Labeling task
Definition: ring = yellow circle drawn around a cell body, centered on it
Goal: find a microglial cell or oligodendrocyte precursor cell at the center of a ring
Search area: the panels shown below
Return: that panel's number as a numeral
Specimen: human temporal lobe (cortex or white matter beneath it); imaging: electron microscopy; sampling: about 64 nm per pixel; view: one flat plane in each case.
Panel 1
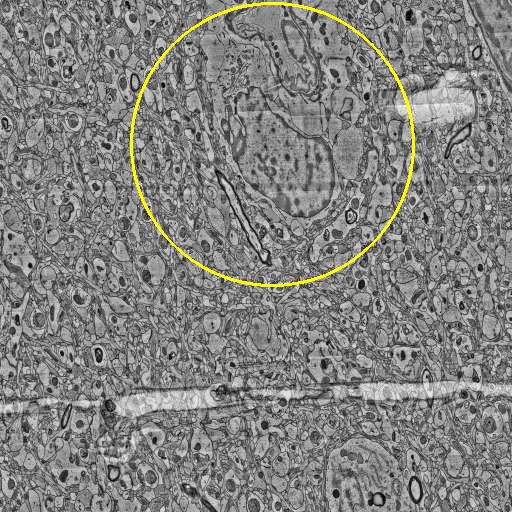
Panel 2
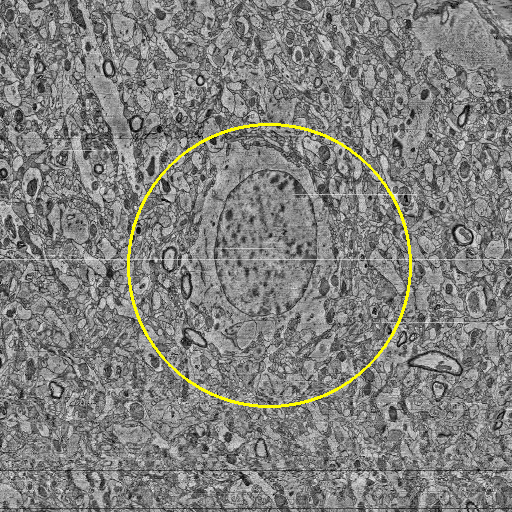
1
